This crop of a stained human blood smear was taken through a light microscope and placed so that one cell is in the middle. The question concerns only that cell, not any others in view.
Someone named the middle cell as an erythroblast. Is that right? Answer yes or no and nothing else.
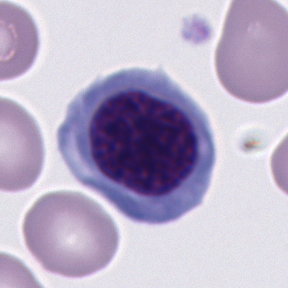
yes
